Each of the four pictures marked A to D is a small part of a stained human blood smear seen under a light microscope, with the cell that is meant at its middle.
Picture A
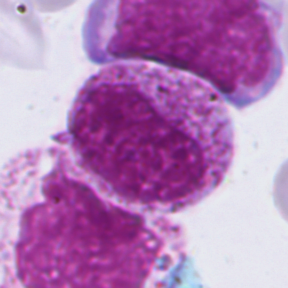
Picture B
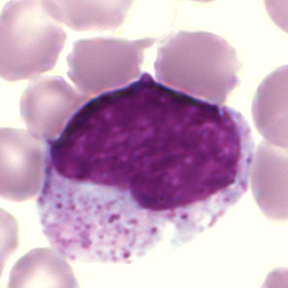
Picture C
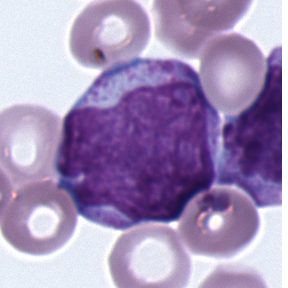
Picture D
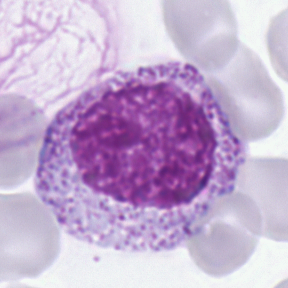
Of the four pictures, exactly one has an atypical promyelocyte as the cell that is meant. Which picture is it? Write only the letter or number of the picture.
C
